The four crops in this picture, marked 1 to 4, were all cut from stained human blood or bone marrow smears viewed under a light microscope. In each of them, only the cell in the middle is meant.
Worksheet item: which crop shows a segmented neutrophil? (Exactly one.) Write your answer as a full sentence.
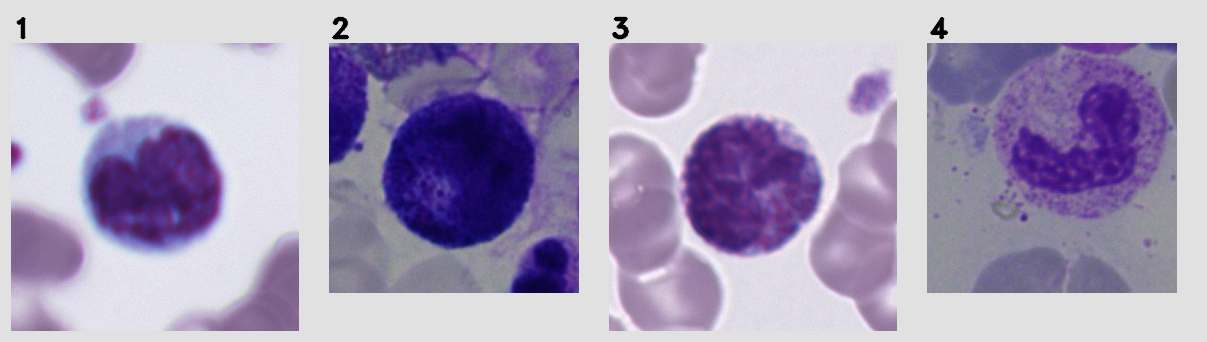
Crop 4 is where a segmented neutrophil is shown.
